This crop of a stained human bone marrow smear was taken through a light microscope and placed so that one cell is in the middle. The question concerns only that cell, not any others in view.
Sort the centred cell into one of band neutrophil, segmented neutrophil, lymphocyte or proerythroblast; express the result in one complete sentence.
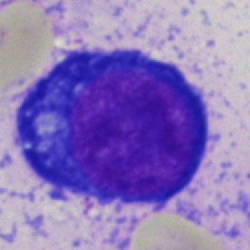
Positioned in the middle of the crop is a proerythroblast.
